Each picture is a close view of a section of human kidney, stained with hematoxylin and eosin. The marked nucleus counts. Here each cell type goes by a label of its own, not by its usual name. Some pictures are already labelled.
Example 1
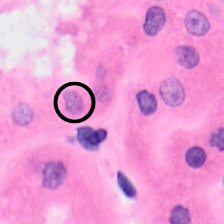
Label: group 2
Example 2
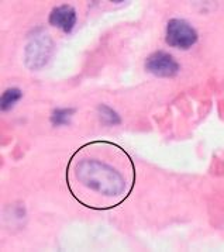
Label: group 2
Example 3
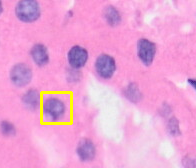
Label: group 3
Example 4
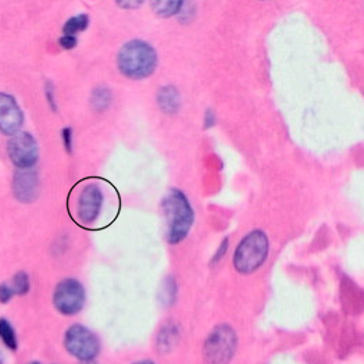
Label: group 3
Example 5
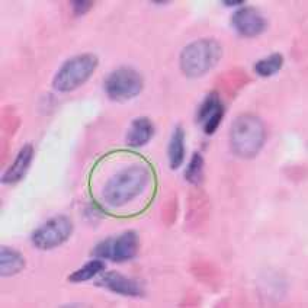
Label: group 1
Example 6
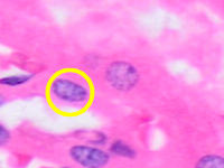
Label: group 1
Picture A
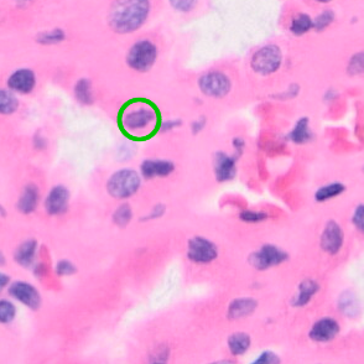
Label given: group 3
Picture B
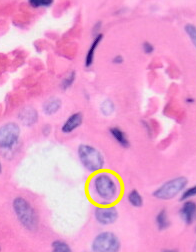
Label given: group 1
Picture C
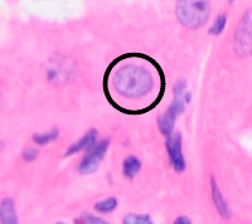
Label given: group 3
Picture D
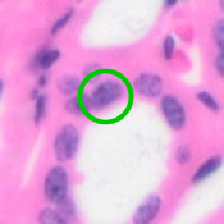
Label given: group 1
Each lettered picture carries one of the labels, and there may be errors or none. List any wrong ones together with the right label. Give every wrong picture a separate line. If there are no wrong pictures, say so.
C should be group 2, not group 3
